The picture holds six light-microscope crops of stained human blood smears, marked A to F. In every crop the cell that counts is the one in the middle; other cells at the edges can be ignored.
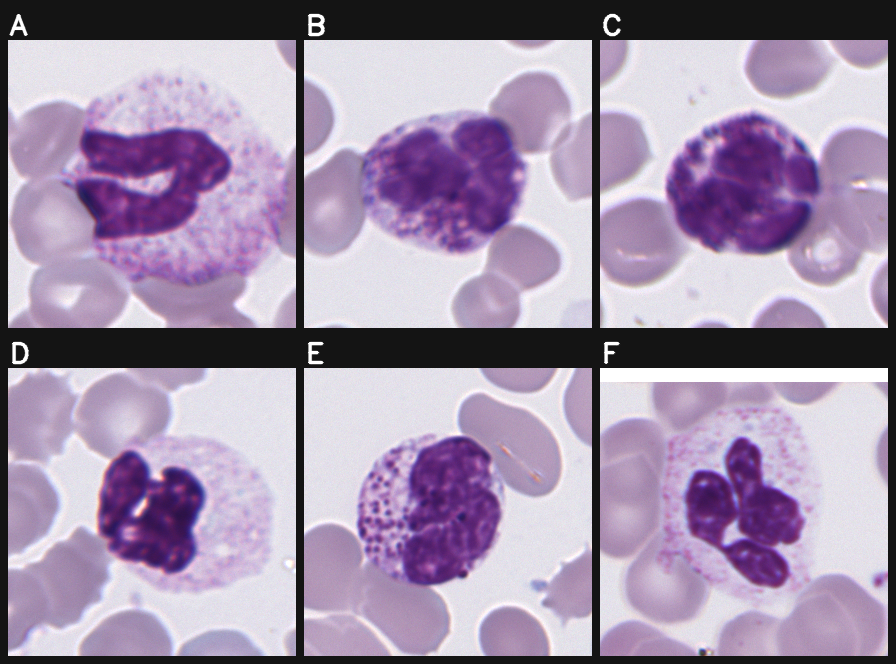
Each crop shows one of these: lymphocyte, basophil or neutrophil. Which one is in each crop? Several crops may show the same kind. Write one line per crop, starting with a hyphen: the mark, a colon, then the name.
- A: neutrophil
- B: basophil
- C: basophil
- D: neutrophil
- E: basophil
- F: neutrophil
